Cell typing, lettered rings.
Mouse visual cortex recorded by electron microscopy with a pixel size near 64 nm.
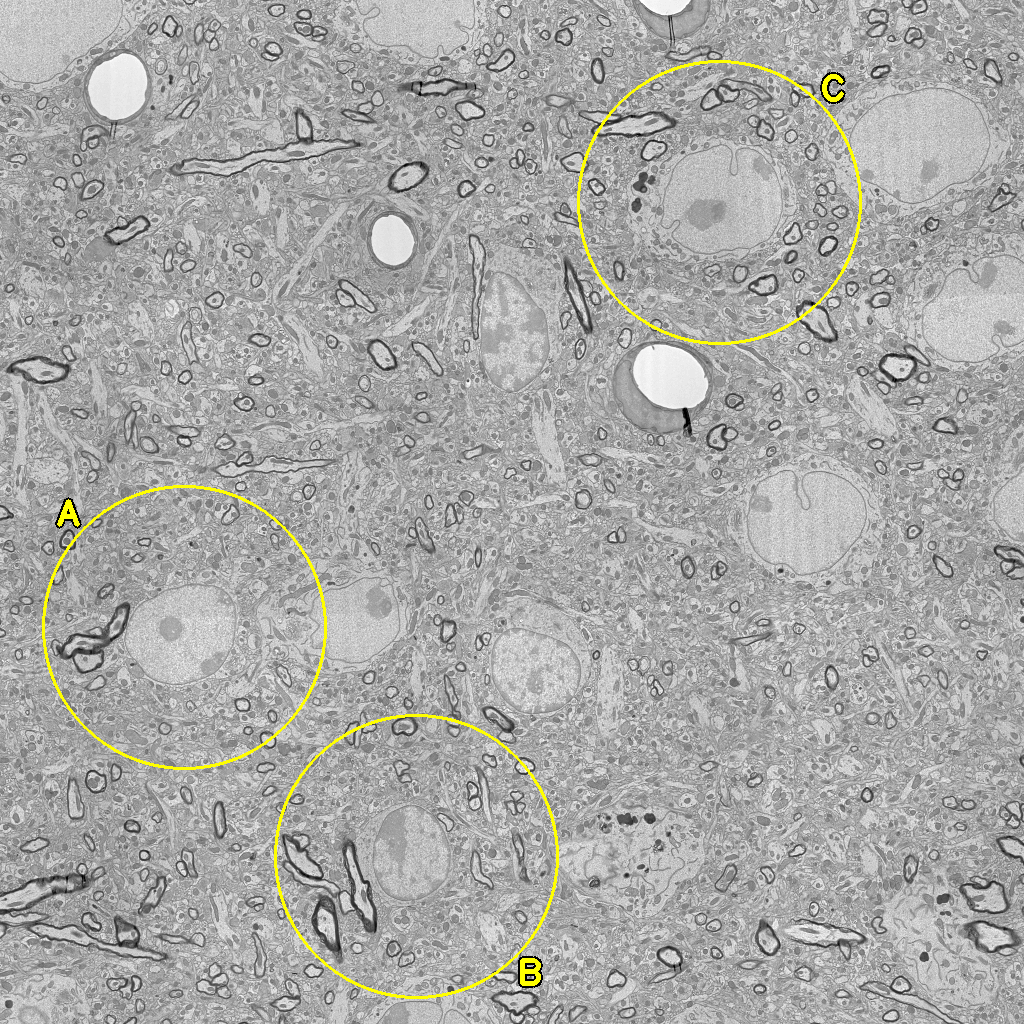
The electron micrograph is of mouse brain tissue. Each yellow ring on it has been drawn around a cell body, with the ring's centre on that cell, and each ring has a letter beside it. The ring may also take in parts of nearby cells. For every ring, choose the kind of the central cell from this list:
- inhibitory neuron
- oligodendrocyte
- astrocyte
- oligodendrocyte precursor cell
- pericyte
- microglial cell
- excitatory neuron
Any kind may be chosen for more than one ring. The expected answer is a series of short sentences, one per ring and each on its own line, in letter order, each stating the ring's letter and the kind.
For ring A, the centred cell is an astrocyte.
For ring B, the centred cell is an oligodendrocyte.
For ring C, the centred cell is an excitatory neuron.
